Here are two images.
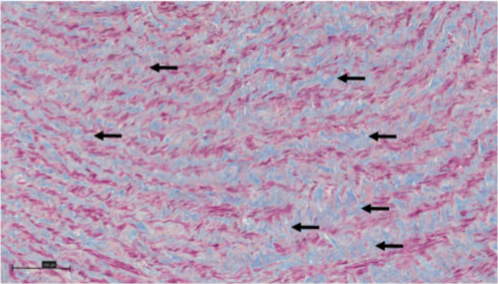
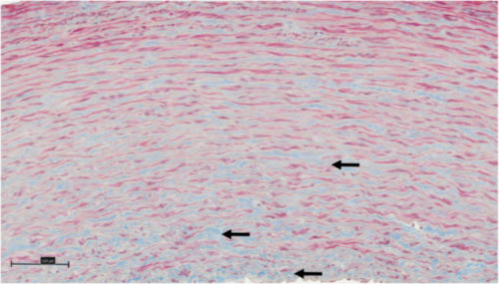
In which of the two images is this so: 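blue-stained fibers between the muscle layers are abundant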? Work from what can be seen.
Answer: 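Second image: blue staining is pale and sparse between mostly red-pink layers. First image: blue staining is dense and widespread between the red-pink layers.
The first image.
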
